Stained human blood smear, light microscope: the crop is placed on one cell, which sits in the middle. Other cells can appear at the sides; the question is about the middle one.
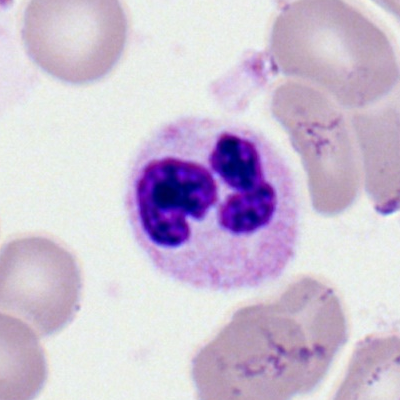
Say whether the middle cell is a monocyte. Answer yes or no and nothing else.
no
